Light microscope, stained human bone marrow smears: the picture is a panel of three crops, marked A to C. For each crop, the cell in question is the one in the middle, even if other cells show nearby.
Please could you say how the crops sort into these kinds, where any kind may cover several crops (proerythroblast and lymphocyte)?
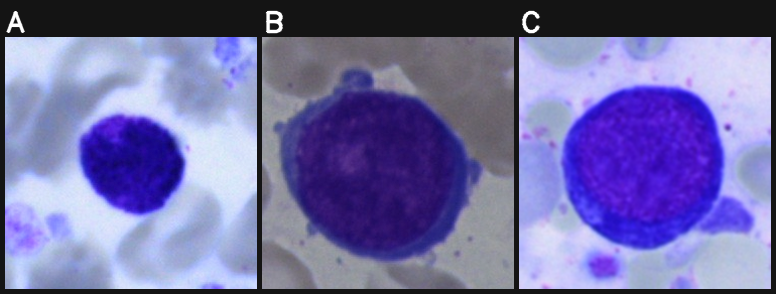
A: lymphocyte
B: proerythroblast
C: proerythroblast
